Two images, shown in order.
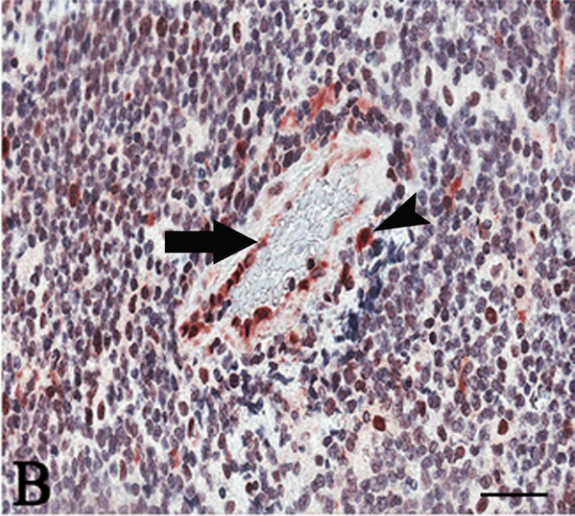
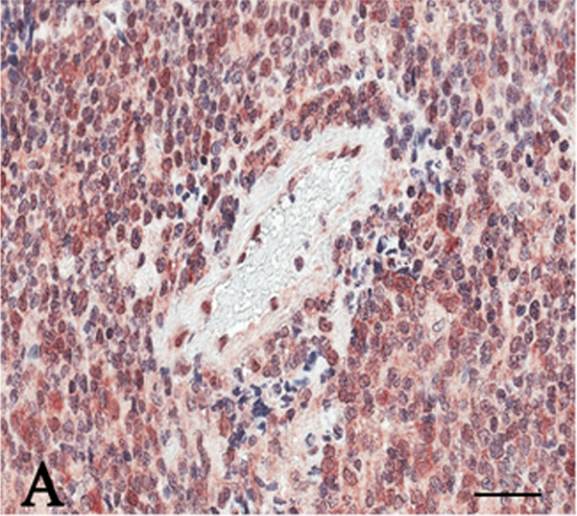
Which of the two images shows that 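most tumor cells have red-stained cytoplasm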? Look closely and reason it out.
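First image: most densely packed cells show blue nuclei with little red, red mainly around the vessel.
Answer: the second image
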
